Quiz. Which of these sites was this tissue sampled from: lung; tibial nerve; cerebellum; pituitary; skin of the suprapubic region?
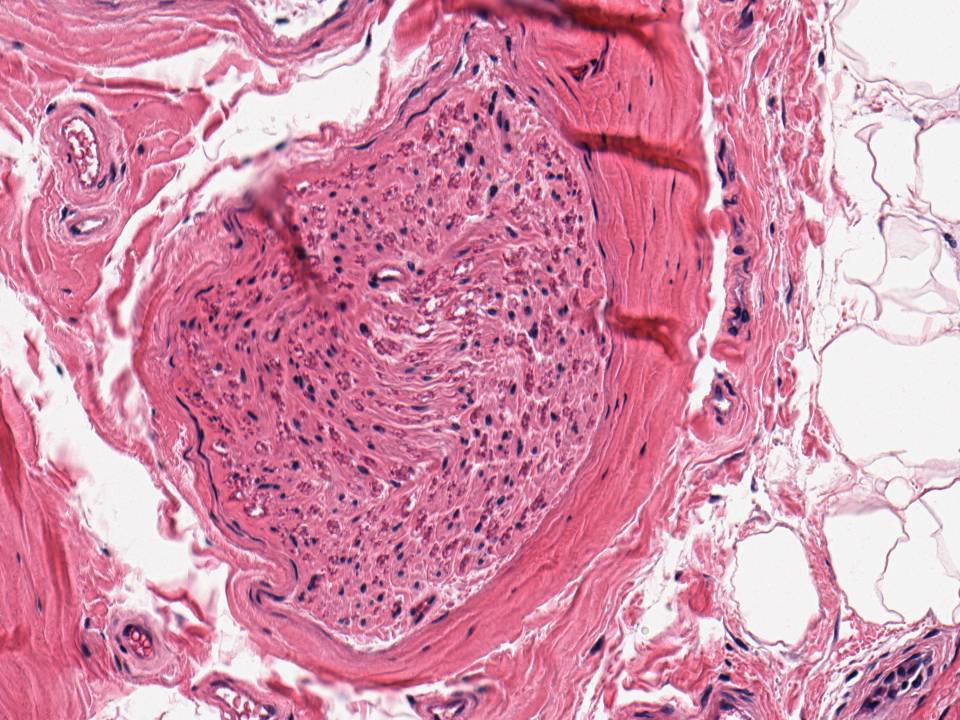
tibial nerve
